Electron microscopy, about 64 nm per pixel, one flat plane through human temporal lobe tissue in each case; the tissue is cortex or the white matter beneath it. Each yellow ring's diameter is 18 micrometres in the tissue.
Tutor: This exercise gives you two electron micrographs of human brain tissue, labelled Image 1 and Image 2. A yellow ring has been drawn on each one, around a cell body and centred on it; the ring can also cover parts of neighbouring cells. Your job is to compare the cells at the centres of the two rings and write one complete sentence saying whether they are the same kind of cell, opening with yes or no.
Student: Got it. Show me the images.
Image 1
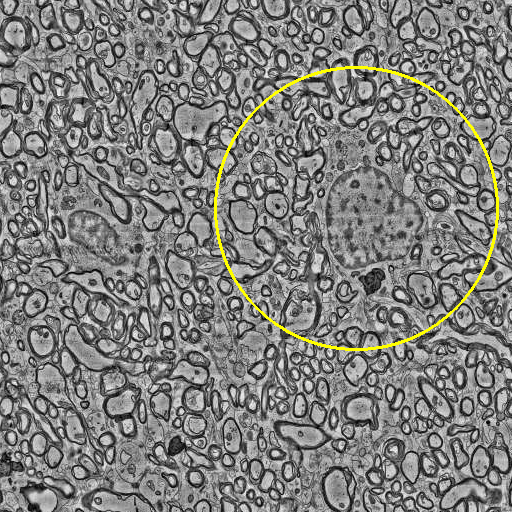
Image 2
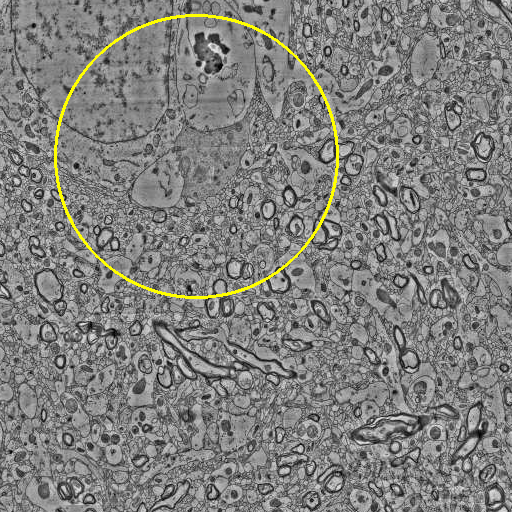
Yes, the two cells belong to the same kind.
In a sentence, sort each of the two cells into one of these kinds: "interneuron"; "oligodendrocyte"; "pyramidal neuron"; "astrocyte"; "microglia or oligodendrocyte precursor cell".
In each picture the ringed cell is an oligodendrocyte.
